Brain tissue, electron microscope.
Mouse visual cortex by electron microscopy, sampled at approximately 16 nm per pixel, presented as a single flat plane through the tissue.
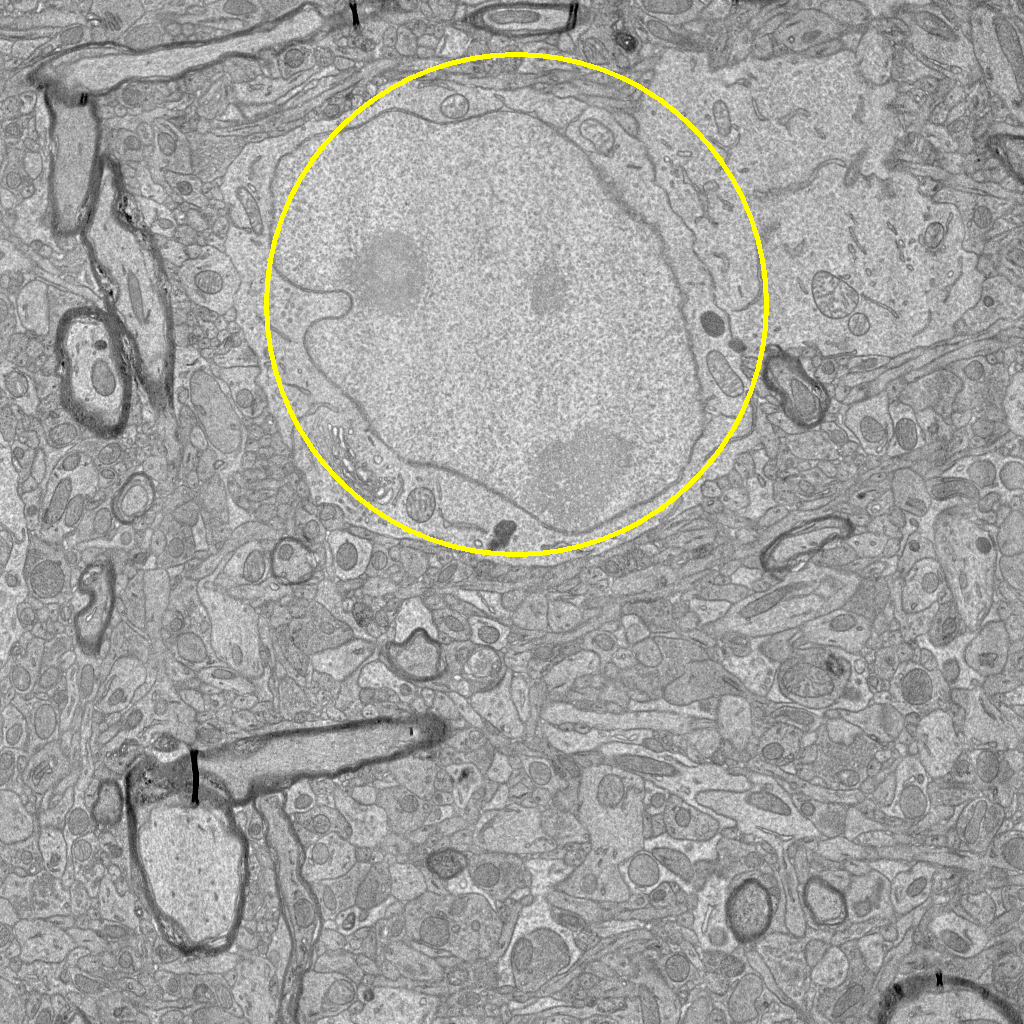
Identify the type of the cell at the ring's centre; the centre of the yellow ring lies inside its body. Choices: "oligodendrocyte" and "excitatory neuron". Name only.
excitatory neuron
